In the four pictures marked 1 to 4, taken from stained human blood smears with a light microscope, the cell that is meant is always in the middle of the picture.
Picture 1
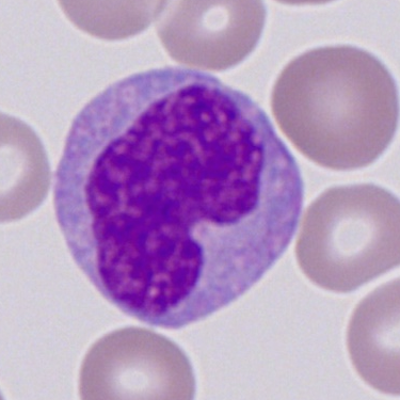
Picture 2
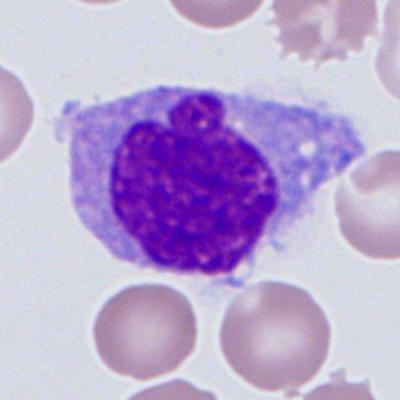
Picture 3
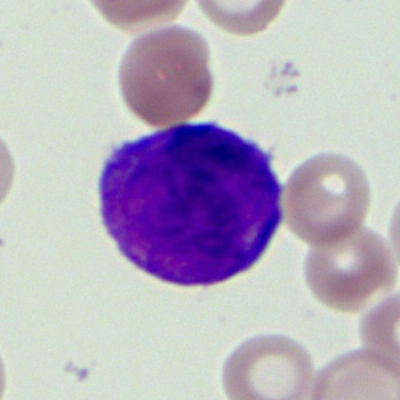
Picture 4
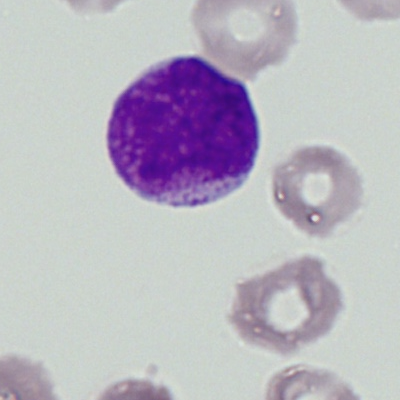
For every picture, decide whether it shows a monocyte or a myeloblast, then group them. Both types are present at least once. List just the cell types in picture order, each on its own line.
monocyte
monocyte
myeloblast
myeloblast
